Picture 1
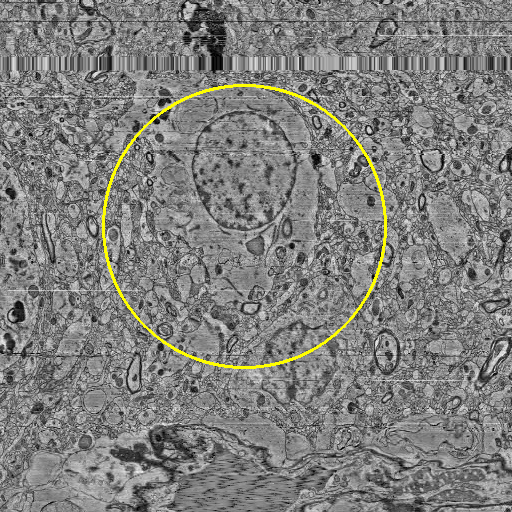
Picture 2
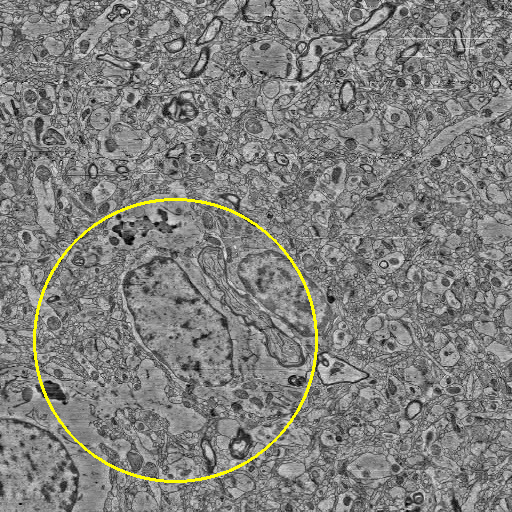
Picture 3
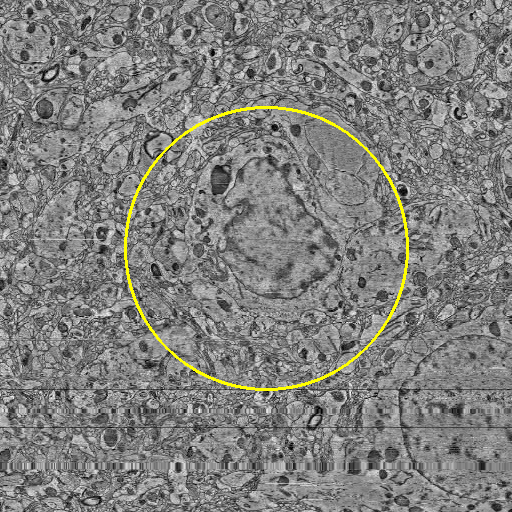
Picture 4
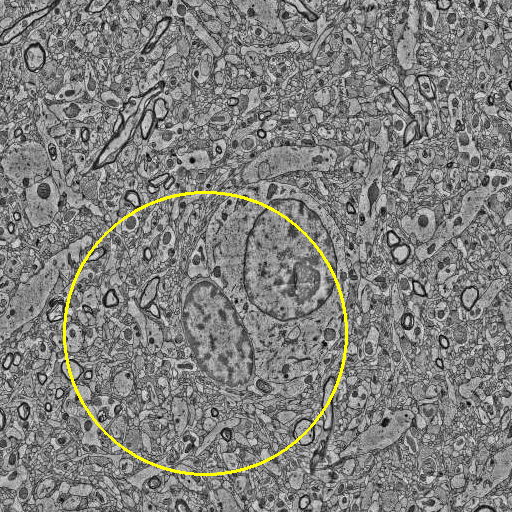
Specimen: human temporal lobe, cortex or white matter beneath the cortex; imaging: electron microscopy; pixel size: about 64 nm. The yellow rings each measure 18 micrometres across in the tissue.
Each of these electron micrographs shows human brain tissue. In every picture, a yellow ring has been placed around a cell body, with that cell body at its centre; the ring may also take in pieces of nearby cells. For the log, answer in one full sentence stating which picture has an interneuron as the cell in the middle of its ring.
In picture 3, the cell at the centre of the yellow ring is the requested one.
